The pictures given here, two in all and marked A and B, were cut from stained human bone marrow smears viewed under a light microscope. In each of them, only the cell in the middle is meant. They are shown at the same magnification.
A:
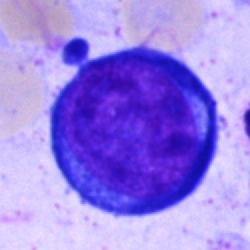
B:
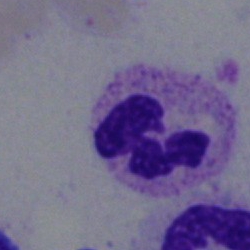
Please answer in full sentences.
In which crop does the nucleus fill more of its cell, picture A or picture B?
It is the cell in picture A that is filled more by its nucleus.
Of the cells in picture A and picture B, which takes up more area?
Larger is the cell in picture A, at roughly 1.5 times the area of the other.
